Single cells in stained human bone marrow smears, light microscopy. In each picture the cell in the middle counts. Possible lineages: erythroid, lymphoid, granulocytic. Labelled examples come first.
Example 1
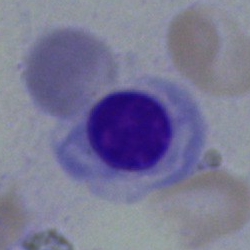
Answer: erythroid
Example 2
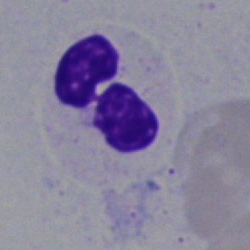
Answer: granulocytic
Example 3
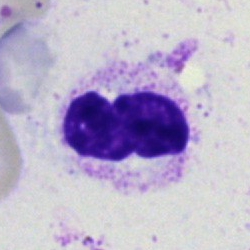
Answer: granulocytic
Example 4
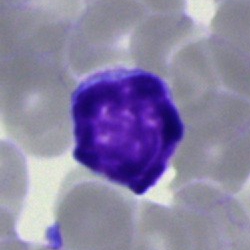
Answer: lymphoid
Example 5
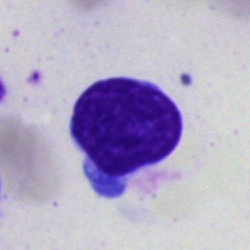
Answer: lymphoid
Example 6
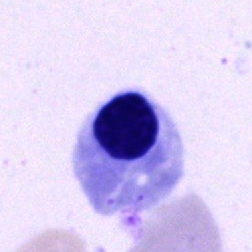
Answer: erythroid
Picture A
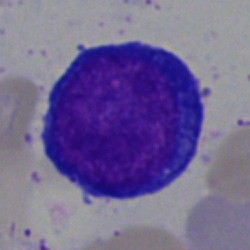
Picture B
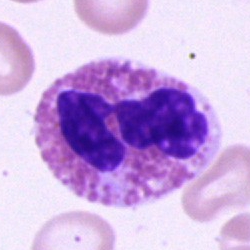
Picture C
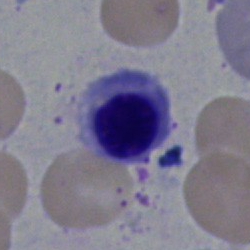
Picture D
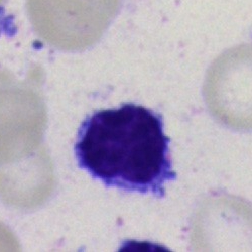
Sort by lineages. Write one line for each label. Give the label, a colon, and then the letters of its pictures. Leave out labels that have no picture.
erythroid: A, C
lymphoid: D
granulocytic: B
